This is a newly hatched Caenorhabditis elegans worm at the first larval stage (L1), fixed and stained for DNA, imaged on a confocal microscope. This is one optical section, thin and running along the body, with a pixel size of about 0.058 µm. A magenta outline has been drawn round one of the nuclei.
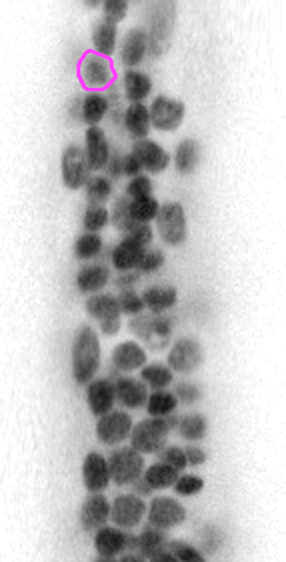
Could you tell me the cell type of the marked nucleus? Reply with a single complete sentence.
The cell with the marked nucleus is an arcade cell.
